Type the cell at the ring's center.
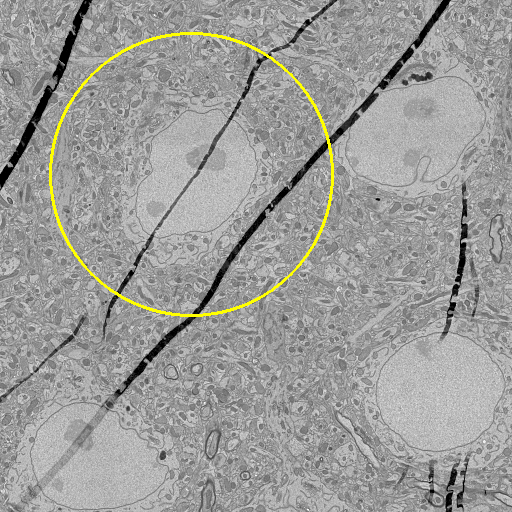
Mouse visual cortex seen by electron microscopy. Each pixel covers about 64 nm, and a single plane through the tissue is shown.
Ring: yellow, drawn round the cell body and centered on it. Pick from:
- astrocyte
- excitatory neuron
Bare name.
excitatory neuron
